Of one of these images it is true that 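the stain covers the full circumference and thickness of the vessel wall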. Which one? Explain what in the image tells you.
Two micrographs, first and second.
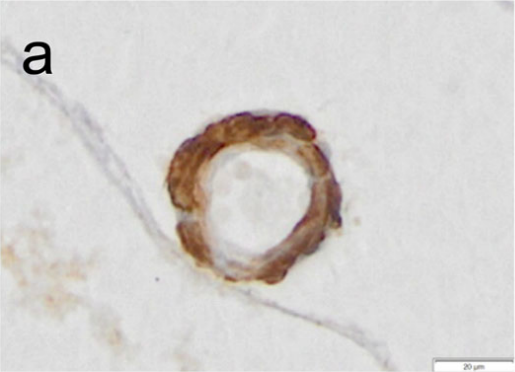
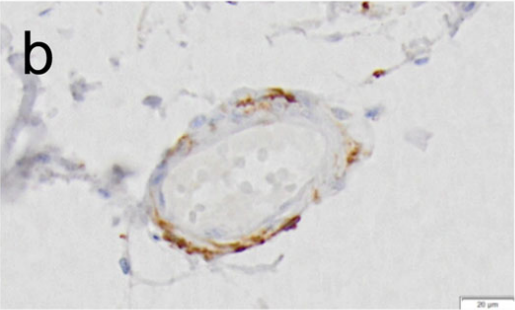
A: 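Second image: brown stain forms discontinuous granular patches mainly along the outer edge of the wall. That points to this answer: the first image.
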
